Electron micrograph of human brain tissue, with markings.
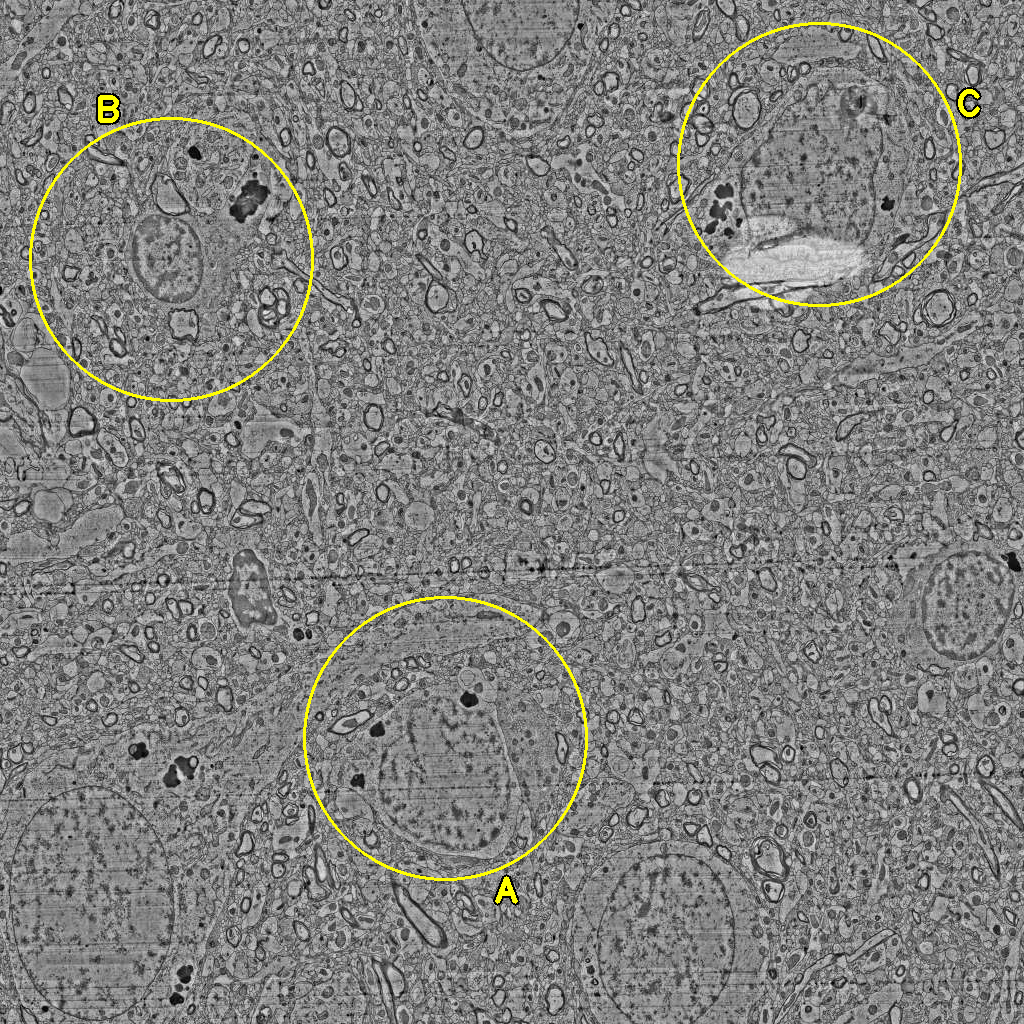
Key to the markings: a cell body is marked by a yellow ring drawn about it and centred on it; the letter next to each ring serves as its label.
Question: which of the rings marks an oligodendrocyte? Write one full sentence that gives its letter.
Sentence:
In this picture, the ring marking that kind of cell has the letter B.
